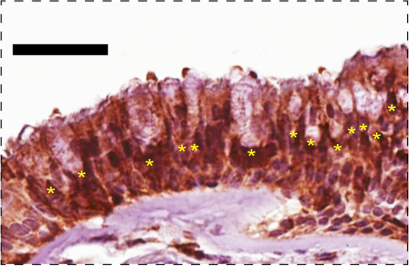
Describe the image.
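An airway epithelium crowded with goblet cells, each with a pale, bubbly mucus-filled apical portion, set among columnar cells whose cytoplasm stains intensely brown. Nuclei sit in the lower part of the layer, and pale connective tissue lies underneath.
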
